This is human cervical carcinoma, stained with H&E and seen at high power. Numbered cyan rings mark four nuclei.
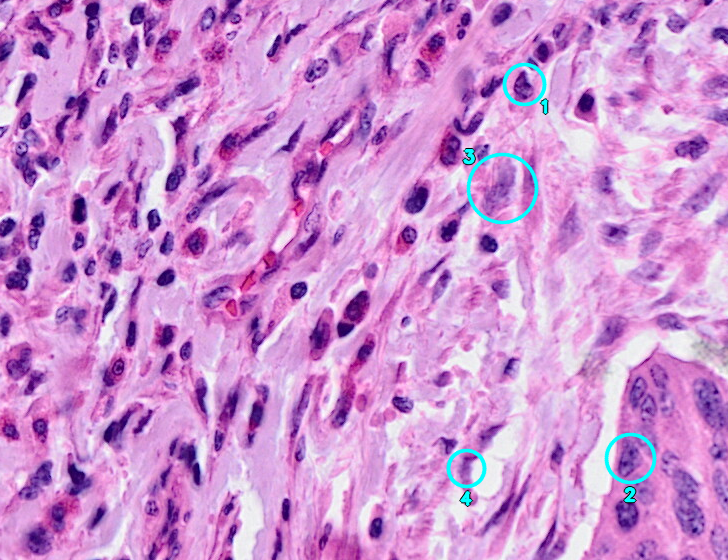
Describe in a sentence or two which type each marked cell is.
Cell 1 is a macrophage or monocyte, cell 2 is a squamous carcinoma cell, cell 3 is a fibroblast and cell 4 is a fibroblast.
